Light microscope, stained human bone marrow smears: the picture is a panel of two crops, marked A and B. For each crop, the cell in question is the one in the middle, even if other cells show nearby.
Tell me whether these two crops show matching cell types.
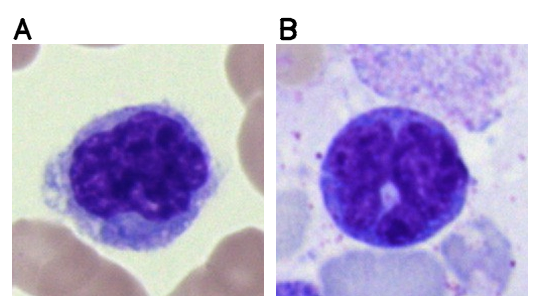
yes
